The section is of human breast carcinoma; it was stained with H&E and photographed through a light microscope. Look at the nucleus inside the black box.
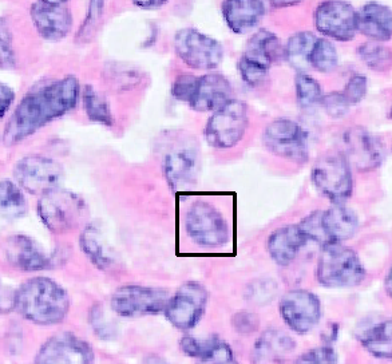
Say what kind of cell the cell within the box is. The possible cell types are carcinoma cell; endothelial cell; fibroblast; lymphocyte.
carcinoma cell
